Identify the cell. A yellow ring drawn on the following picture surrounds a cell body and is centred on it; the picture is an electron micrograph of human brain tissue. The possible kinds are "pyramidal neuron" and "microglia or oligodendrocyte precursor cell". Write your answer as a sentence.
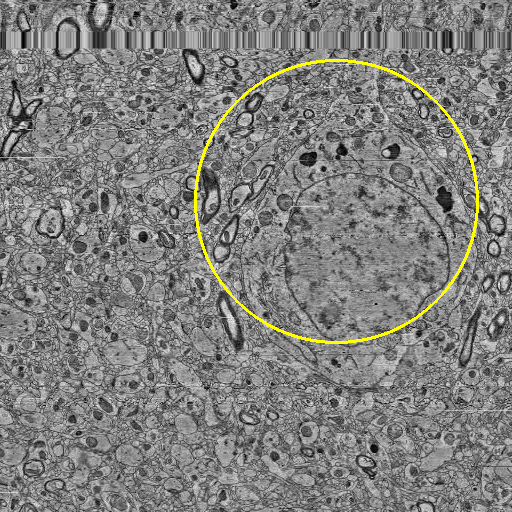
The cell identified by the ring is a pyramidal neuron.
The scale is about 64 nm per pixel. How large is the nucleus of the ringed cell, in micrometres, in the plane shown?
About 11 micrometers across, in this plane.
